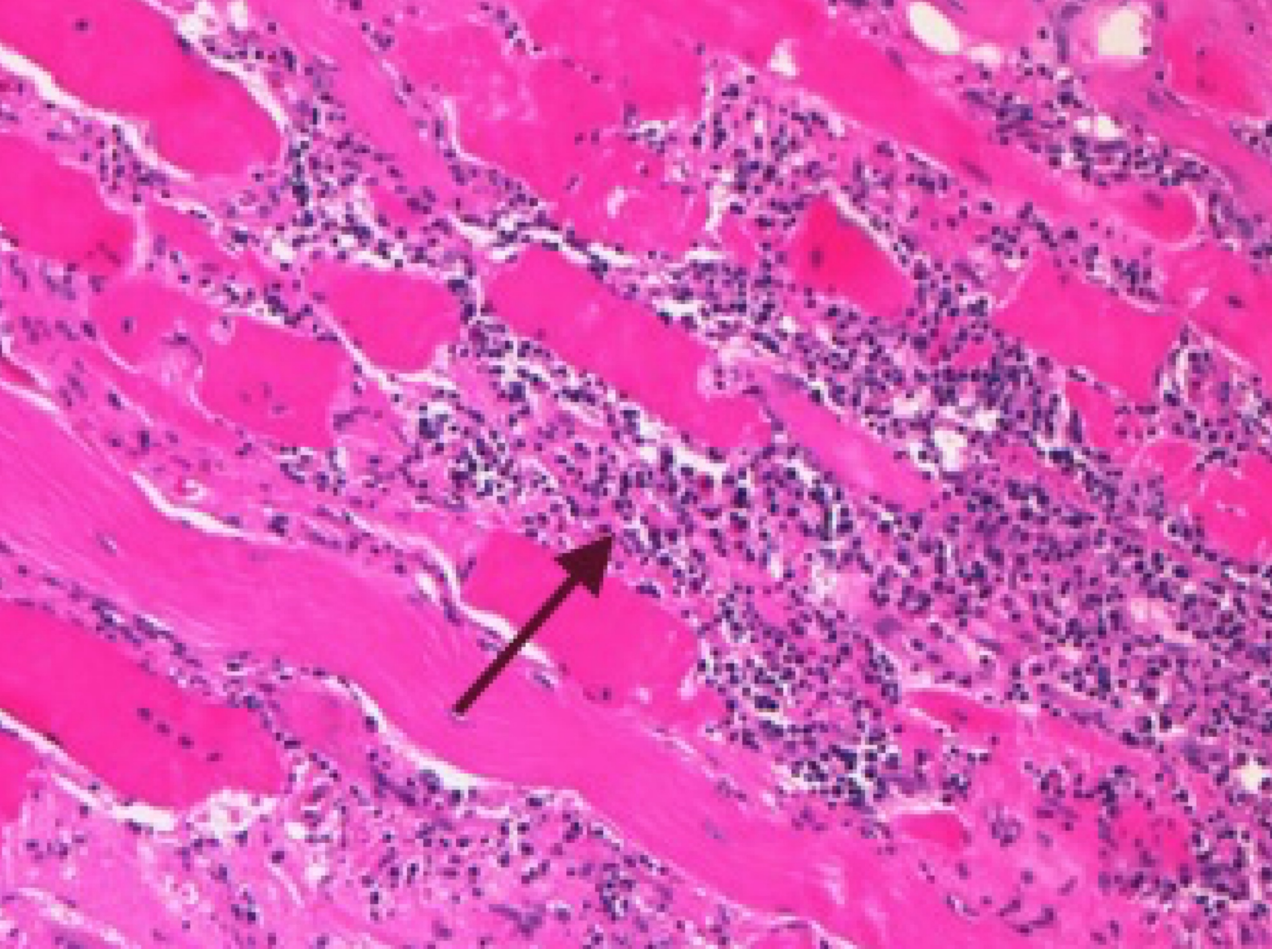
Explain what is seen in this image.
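This longitudinal section shows muscle fibres (myocytes) stained pink, invaded by a heavy infiltrate of inflammatory cells. The fibres run diagonally across the field, and many of them are broken into short, irregular pink fragments with gaps between them. Dense sheets of small cells with round, dark purple nuclei and scant cytoplasm crowd between and into these fragments, most densely in the centre of the field. Toward the lower left, some longer fibres remain more intact and less crowded by these cells.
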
